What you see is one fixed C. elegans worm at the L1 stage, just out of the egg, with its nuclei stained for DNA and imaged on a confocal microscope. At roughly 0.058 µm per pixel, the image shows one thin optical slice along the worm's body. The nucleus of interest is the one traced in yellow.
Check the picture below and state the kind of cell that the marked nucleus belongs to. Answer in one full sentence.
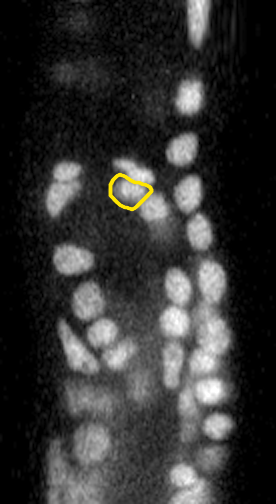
The nucleus comes from a valve cell of the gut.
